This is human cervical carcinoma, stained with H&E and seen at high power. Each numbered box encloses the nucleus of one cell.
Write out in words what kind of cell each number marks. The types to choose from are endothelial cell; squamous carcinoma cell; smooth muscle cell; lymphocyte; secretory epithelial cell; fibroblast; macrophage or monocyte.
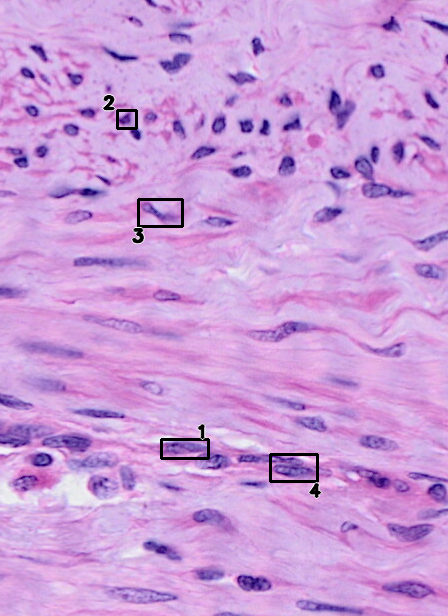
Cells 1 and 4 are endothelial cells. Cells 2 and 3 are smooth muscle cells.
